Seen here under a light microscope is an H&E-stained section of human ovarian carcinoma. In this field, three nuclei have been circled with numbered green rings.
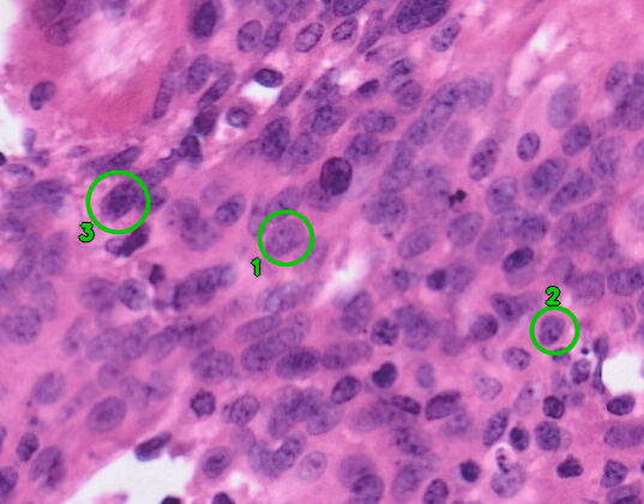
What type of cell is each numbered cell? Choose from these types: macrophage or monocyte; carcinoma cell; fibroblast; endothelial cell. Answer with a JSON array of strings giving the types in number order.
["carcinoma cell", "macrophage or monocyte", "carcinoma cell"]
